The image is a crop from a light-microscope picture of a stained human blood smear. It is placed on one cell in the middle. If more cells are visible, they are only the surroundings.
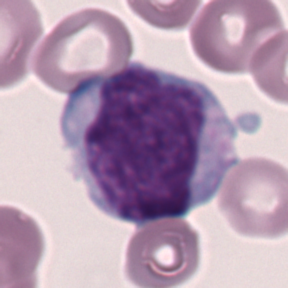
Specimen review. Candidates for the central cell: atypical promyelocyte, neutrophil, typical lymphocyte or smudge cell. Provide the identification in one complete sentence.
To answer, the cell in the center of the crop is an atypical promyelocyte.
